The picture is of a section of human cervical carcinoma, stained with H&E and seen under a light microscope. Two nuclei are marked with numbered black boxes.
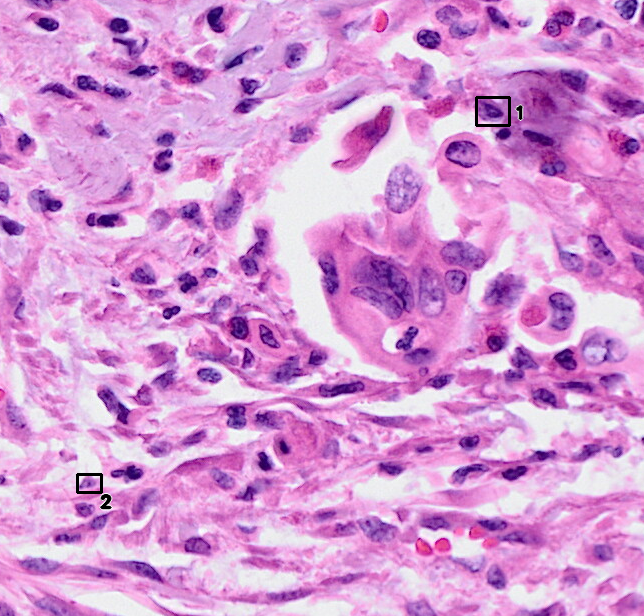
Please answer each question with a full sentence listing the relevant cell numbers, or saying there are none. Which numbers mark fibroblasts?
Cell 2 is the one numbered cell that is a fibroblast.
